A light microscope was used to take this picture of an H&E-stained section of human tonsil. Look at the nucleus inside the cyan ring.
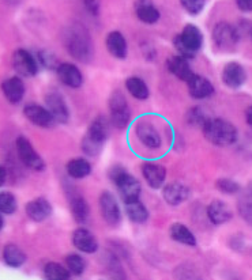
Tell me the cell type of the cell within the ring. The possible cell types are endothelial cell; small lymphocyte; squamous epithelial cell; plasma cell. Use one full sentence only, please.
In the stained section, the cell within the ring is a plasma cell.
